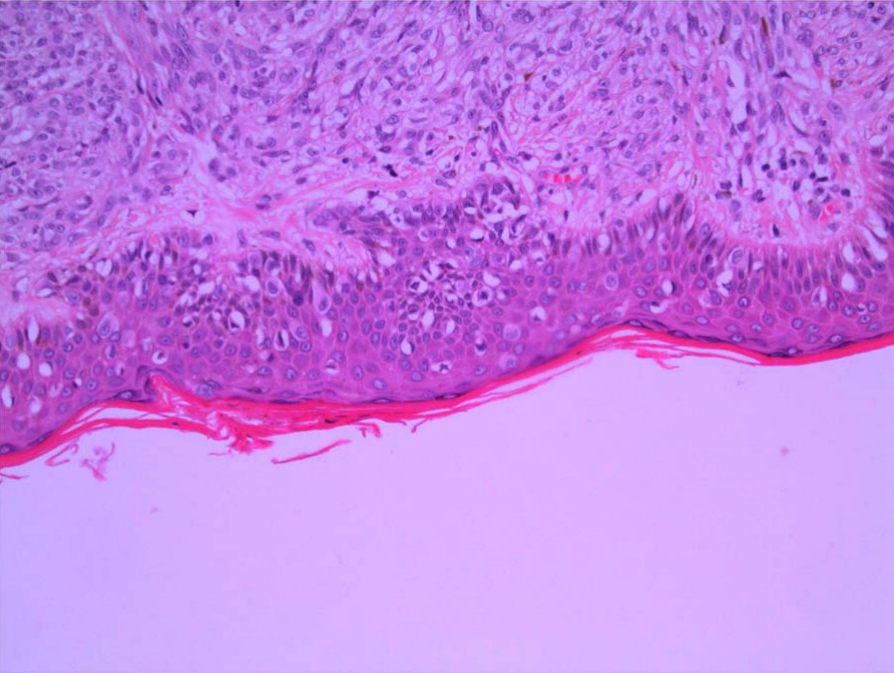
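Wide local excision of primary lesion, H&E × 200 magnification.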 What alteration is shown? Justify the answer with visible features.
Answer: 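Single rounded cells surrounded by clear halos lie scattered among the keratinocytes of the epidermis. These cells sit well above the basal layer, in the middle and upper epidermis.
Pagetoid spread.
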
